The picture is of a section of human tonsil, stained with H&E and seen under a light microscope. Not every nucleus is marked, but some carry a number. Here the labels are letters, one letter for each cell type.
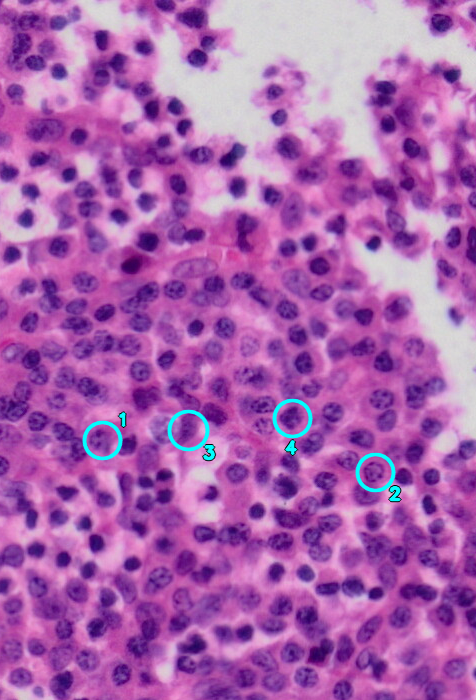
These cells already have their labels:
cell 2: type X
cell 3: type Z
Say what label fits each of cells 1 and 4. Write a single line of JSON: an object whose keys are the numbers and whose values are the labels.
{"1": "type X", "4": "type X"}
